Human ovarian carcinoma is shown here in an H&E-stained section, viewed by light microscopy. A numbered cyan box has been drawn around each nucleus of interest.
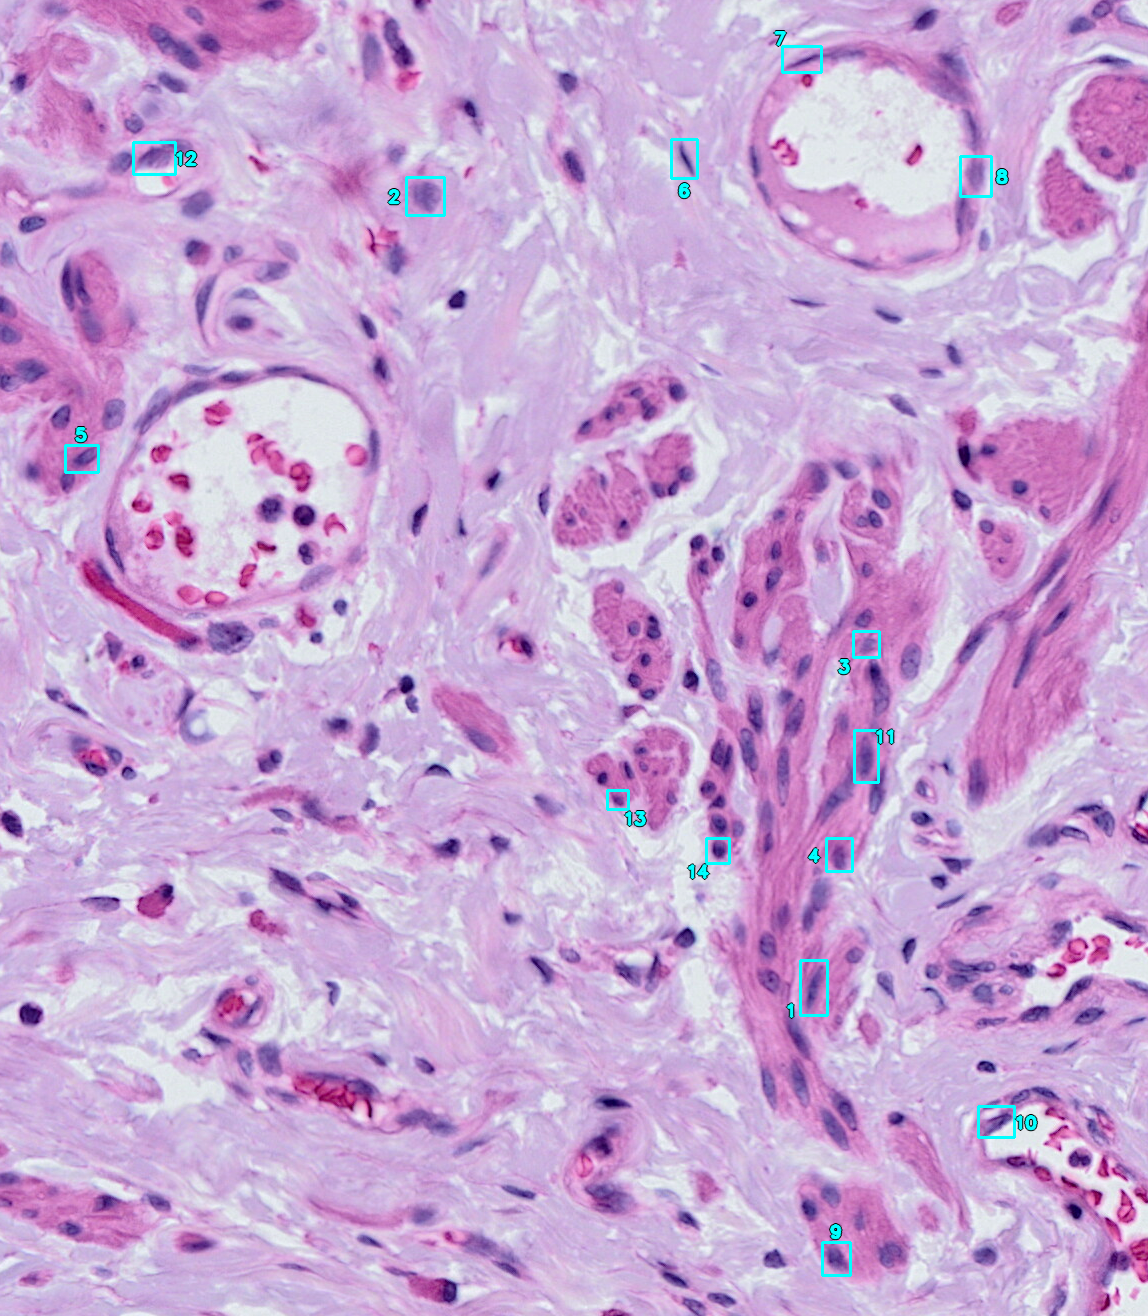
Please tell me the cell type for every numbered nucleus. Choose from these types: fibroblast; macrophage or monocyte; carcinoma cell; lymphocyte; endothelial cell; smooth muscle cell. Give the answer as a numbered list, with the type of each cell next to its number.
1. smooth muscle cell
2. fibroblast
3. smooth muscle cell
4. smooth muscle cell
5. smooth muscle cell
6. fibroblast
7. endothelial cell
8. endothelial cell
9. smooth muscle cell
10. endothelial cell
11. smooth muscle cell
12. endothelial cell
13. smooth muscle cell
14. smooth muscle cell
